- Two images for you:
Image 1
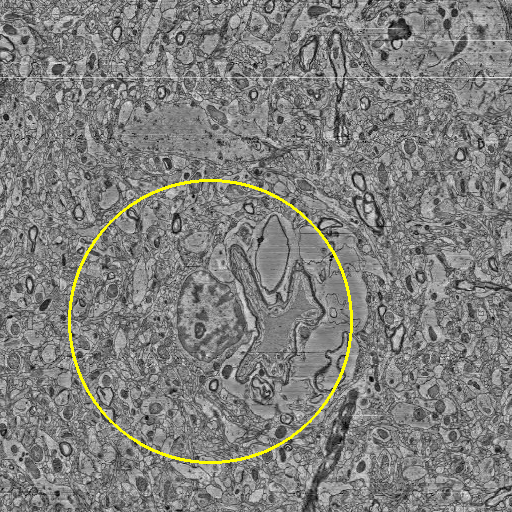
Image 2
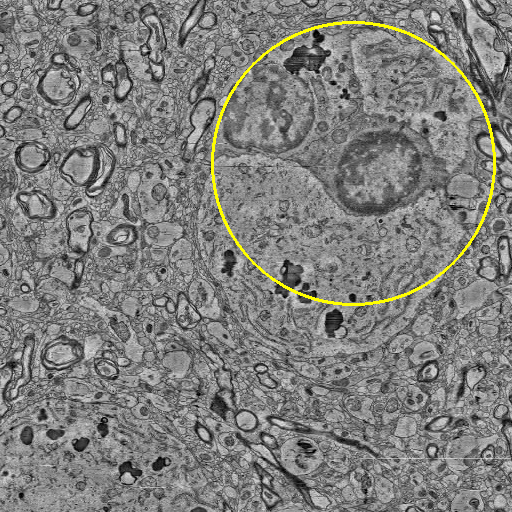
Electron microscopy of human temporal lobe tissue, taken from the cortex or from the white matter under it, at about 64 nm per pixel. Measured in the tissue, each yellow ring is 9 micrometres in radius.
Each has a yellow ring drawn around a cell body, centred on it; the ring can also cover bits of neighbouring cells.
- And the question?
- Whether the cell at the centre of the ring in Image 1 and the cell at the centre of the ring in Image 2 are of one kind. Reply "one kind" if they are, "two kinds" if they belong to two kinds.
one kind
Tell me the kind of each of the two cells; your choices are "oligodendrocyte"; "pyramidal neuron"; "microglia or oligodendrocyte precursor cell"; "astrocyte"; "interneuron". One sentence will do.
Each cell, in the first picture and the second, is an oligodendrocyte.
